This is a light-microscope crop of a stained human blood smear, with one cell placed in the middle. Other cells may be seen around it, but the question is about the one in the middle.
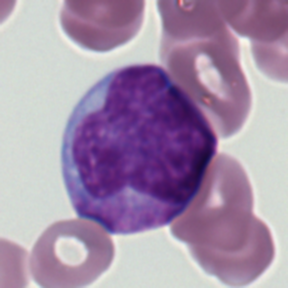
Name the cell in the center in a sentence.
Classified as an atypical promyelocyte is the cell in the middle of this crop.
